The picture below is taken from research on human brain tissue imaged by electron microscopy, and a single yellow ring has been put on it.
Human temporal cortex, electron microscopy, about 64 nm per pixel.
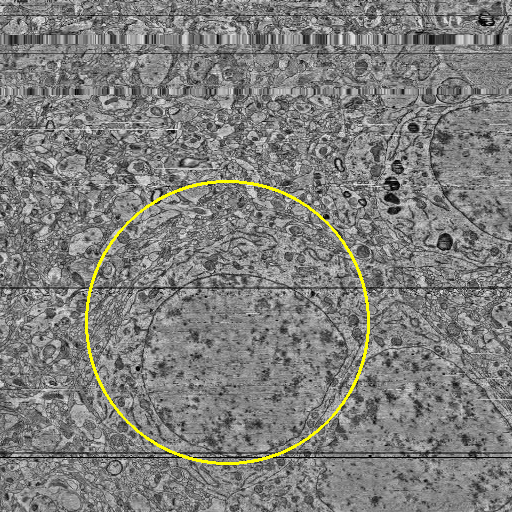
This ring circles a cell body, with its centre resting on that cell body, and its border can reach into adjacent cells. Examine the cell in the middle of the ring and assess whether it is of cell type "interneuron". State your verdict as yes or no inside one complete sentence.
No, in the picture, the cell lying at the centre of the ring is of a different type.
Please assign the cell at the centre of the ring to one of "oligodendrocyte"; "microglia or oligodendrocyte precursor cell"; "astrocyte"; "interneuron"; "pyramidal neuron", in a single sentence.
The cell at the ring centre is a pyramidal neuron.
